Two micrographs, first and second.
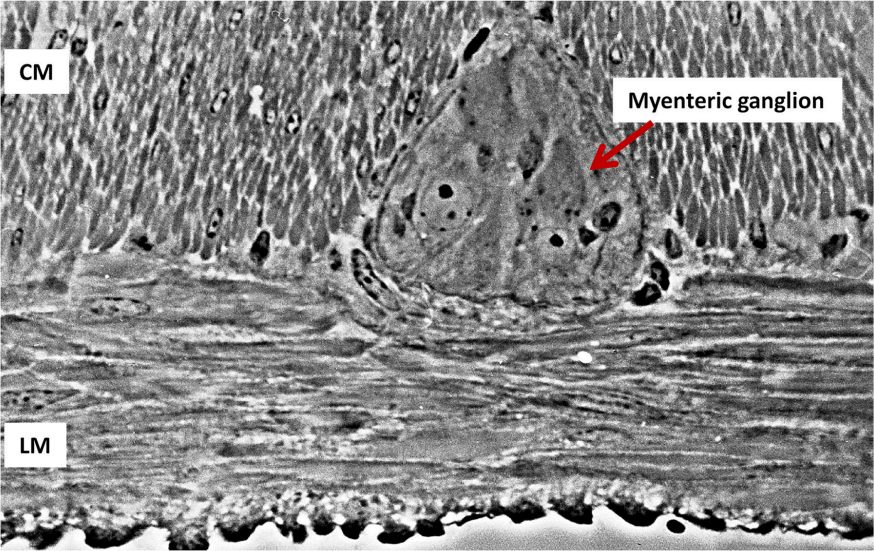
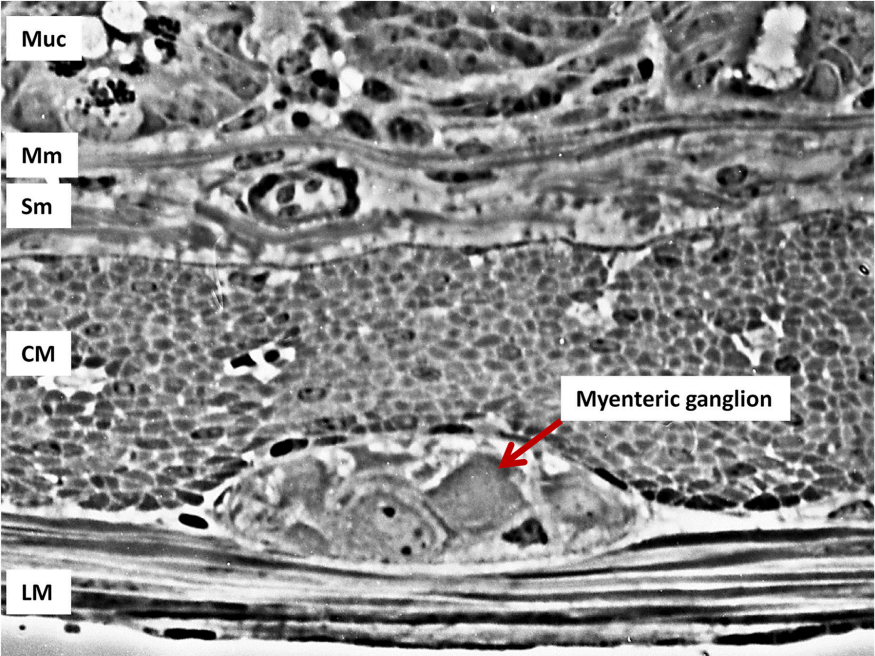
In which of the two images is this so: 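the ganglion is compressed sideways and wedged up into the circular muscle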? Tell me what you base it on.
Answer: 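First image: the ganglion is a tall triangular wedge pushed up between the circular muscle bundles. Second image: the ganglion is a wide, flat oval lying along the boundary between the two muscle layers. The answer: the first image.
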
